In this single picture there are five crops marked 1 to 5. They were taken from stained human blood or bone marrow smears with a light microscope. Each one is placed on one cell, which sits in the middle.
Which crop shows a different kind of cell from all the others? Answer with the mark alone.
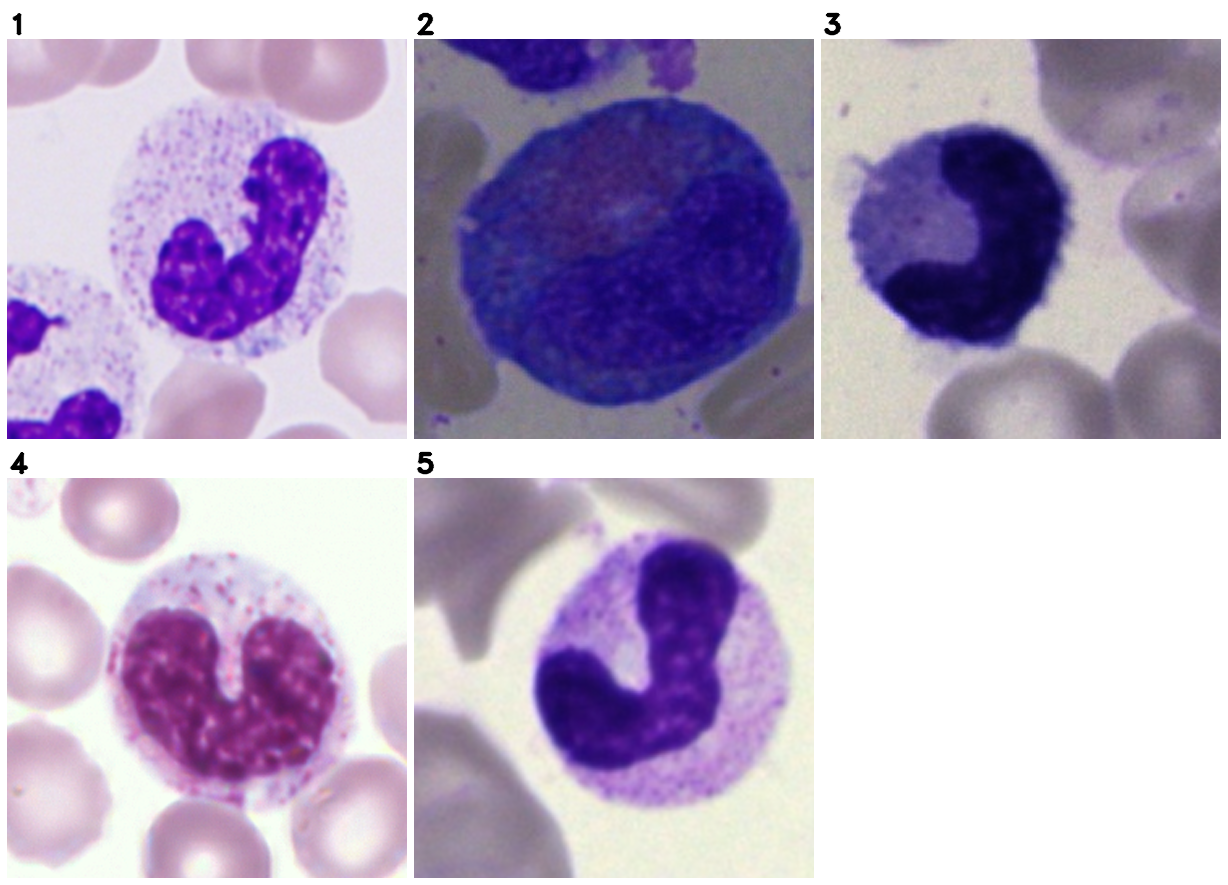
2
